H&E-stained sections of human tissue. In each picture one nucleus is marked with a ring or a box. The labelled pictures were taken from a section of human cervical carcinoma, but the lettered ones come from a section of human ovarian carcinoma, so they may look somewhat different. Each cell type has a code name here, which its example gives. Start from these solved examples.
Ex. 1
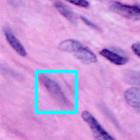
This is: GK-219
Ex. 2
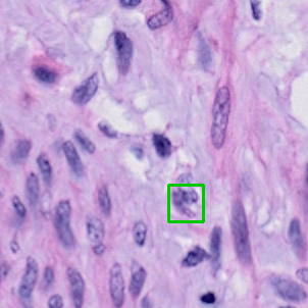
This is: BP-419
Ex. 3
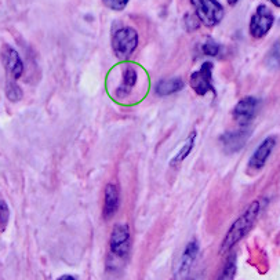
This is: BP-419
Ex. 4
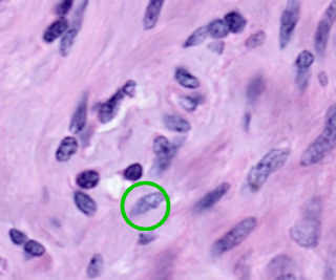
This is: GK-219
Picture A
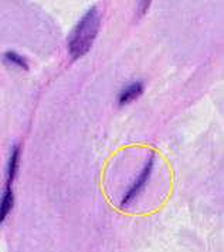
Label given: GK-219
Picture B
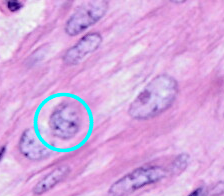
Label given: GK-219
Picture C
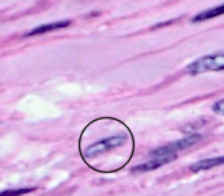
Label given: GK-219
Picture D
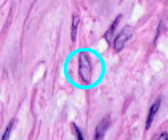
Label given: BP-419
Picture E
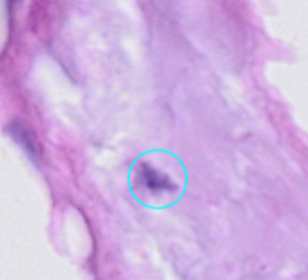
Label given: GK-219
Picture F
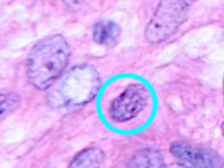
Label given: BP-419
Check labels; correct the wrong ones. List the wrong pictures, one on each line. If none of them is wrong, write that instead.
D should be GK-219, not BP-419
